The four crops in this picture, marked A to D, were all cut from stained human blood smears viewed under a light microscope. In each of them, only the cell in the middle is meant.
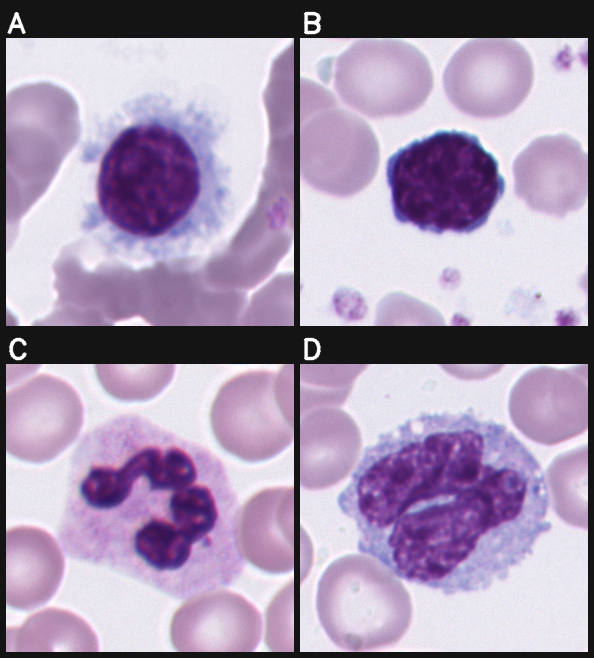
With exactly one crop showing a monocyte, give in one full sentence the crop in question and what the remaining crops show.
The middle cell of crop D is a monocyte, while crop A is a hairy cell, crop B is a typical lymphocyte and crop C is a segmented neutrophil.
